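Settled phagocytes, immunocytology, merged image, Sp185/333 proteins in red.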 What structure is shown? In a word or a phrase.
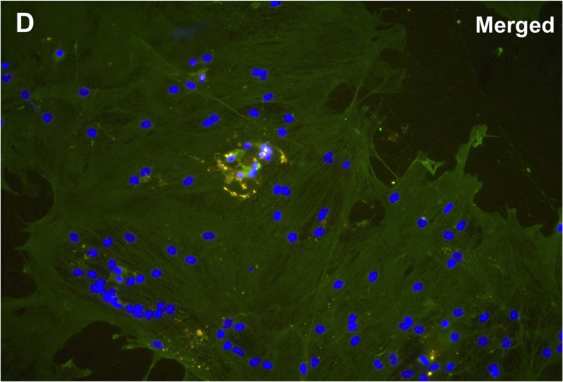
Syncytium-like structure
